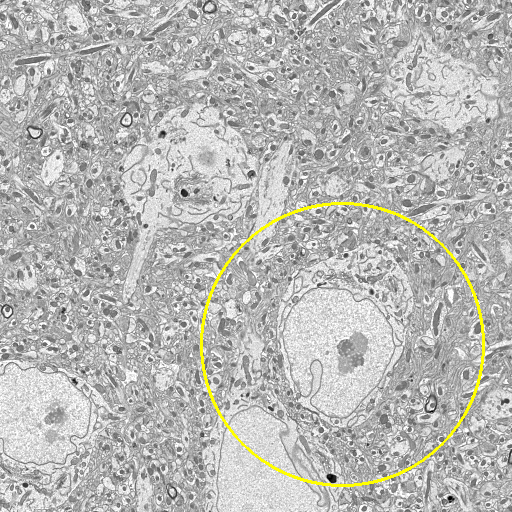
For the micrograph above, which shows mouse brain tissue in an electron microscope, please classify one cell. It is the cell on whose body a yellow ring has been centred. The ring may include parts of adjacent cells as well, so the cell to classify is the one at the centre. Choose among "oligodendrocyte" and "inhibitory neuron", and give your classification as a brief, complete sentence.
I classify this cell as an inhibitory neuron.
